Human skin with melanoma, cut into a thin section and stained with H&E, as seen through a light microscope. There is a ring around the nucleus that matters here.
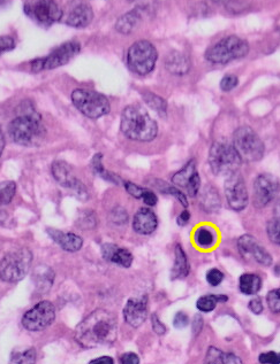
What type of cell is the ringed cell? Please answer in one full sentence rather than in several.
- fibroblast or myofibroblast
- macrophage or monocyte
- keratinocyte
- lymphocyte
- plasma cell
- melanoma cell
At the level of cell identity, the ringed cell is a lymphocyte.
